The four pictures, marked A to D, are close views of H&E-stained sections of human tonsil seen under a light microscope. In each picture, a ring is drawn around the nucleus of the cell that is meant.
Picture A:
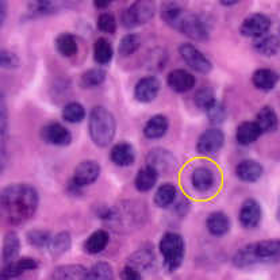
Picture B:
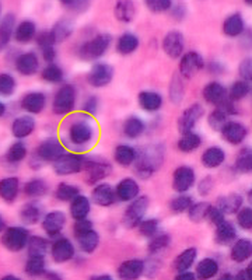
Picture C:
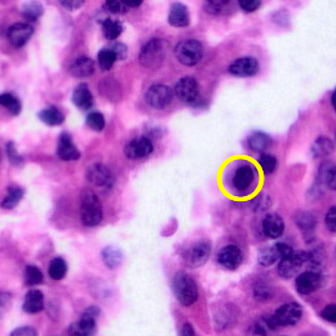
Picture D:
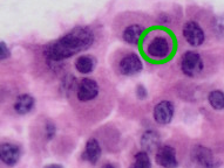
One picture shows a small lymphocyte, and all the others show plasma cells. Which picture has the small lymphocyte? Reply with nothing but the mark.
B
